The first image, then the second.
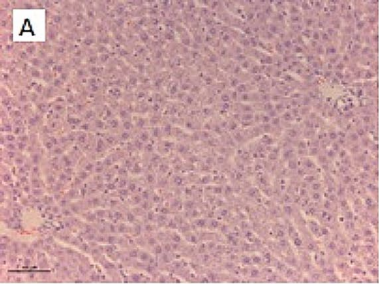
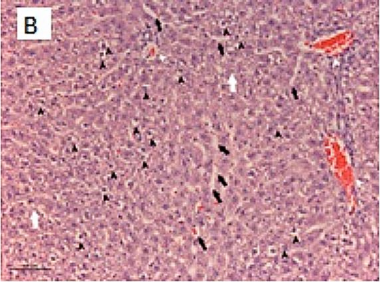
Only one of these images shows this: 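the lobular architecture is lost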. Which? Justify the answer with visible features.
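The second image. Second image: hepatocytes are disordered, with blood-filled vessels and scattered pale cells. First image: uniform hepatocyte cords with an even, orderly pattern around small vessels.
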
